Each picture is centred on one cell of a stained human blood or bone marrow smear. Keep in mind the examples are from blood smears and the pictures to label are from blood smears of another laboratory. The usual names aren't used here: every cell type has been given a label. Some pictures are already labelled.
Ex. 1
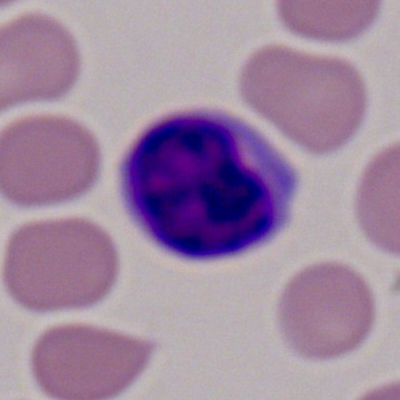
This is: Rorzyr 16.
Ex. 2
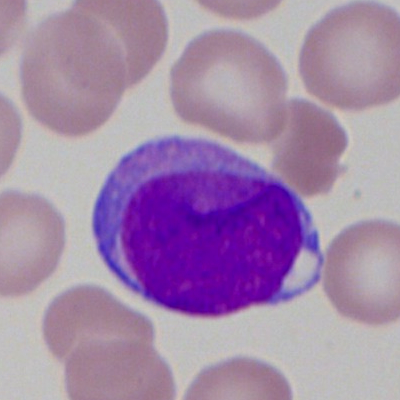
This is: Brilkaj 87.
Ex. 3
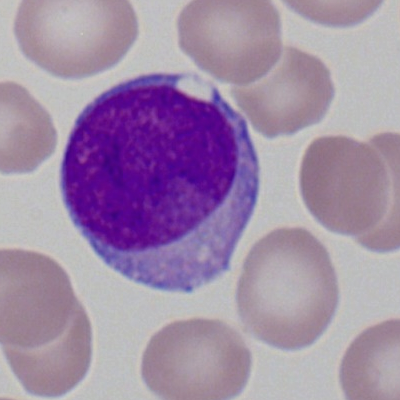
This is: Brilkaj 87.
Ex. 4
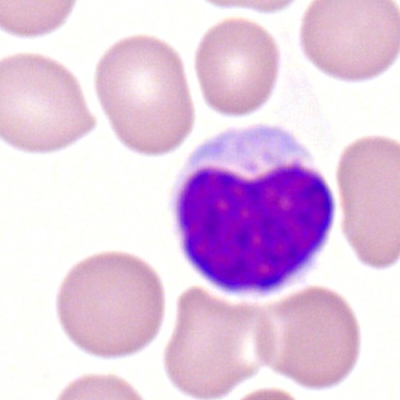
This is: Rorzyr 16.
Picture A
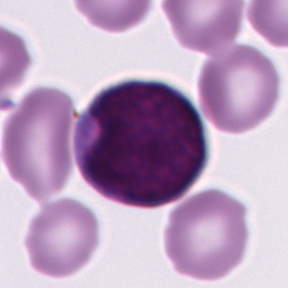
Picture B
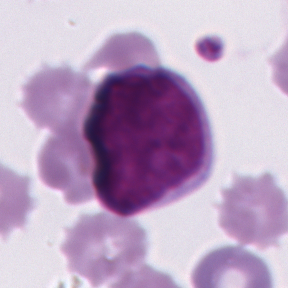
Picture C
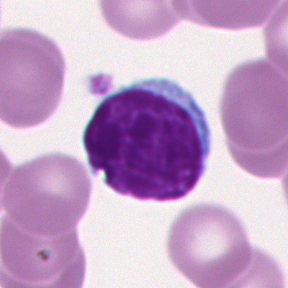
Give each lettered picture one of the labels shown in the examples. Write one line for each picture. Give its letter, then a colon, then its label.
A: Brilkaj 87.
B: Brilkaj 87.
C: Rorzyr 16.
